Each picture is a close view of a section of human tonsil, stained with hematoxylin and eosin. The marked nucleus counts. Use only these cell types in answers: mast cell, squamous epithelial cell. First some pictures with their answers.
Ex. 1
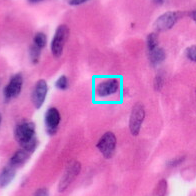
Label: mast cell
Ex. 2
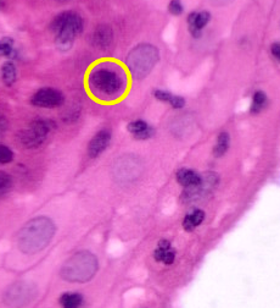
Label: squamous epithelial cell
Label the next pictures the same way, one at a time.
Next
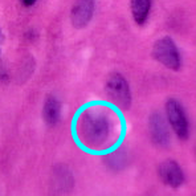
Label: squamous epithelial cell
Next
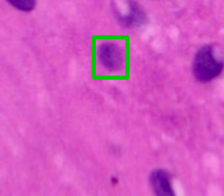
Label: squamous epithelial cell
